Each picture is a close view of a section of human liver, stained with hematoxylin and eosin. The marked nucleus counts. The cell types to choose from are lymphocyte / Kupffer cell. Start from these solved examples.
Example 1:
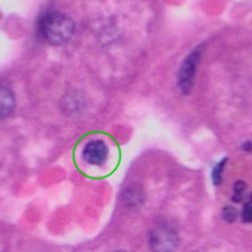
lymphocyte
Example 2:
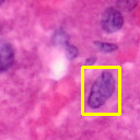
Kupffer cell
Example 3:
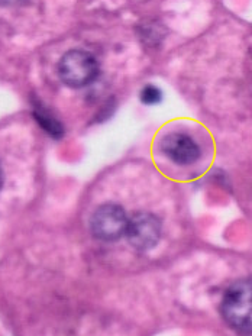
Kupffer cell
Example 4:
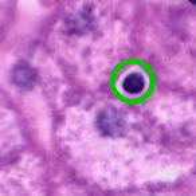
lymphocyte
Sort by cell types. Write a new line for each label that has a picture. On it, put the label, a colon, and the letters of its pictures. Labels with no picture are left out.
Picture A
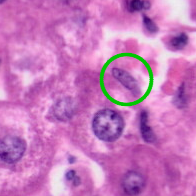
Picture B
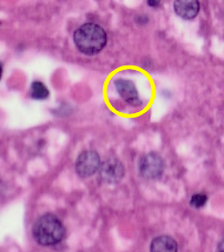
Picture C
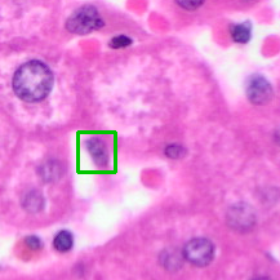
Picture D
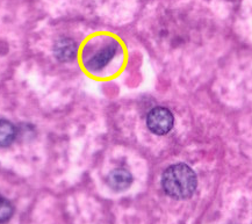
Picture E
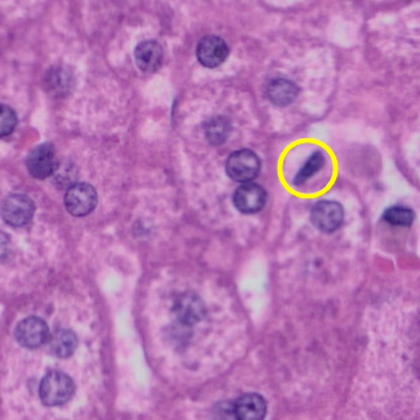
lymphocyte: E
Kupffer cell: A, B, C, D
